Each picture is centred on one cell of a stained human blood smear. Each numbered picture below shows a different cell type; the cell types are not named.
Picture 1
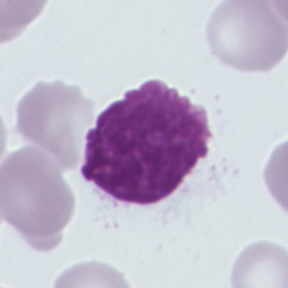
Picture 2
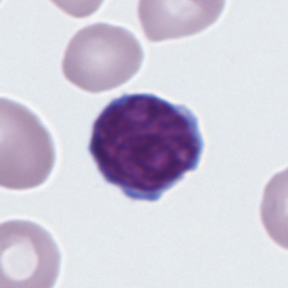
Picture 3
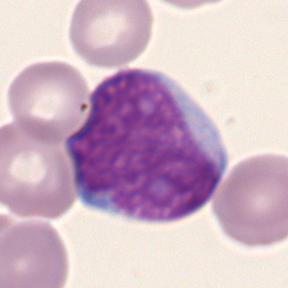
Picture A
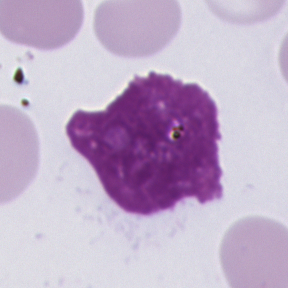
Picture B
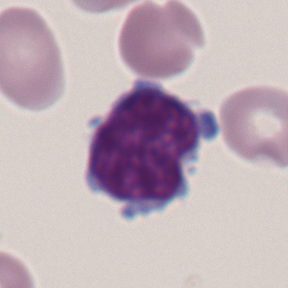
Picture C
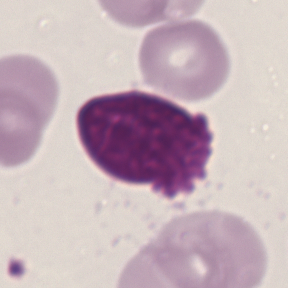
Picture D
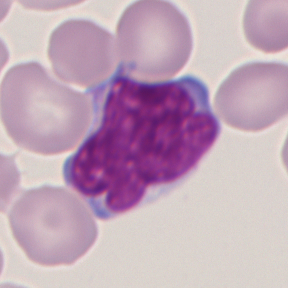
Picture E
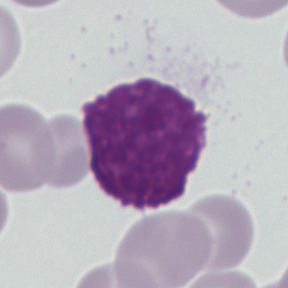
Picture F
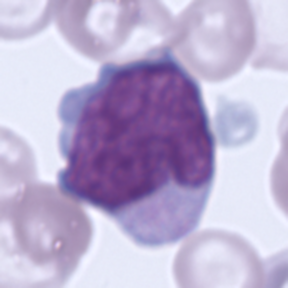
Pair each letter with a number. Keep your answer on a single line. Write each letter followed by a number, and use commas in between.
A 1, B 2, C 1, D 2, E 1, F 3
